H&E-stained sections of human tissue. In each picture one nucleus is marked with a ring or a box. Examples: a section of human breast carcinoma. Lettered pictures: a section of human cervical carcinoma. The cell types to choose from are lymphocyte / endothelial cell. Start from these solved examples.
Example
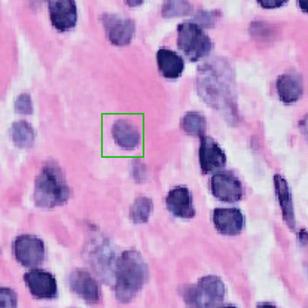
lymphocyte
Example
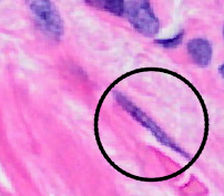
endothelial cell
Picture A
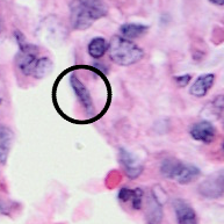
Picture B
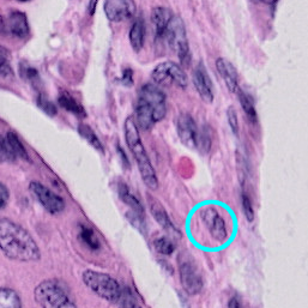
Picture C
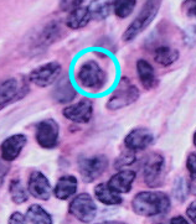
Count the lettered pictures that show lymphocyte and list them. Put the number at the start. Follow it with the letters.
Count: 1 (C)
